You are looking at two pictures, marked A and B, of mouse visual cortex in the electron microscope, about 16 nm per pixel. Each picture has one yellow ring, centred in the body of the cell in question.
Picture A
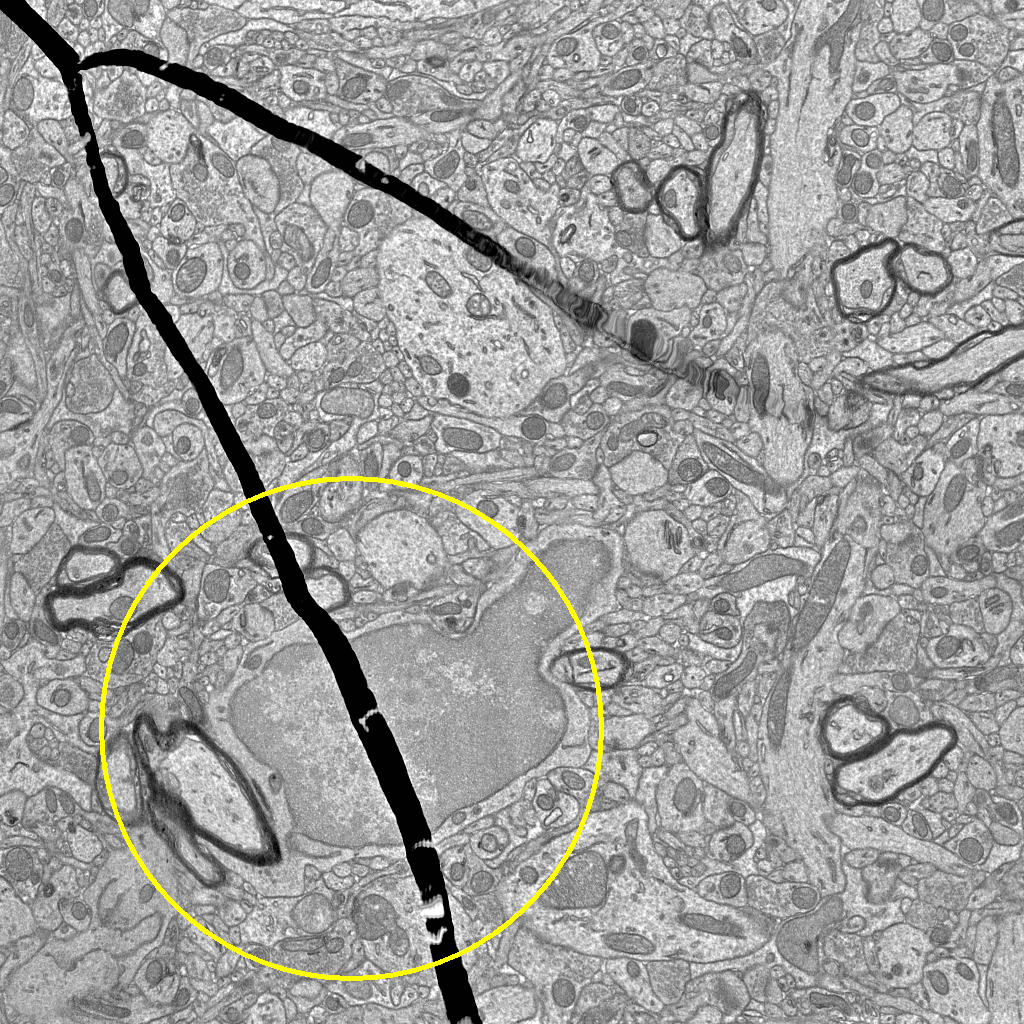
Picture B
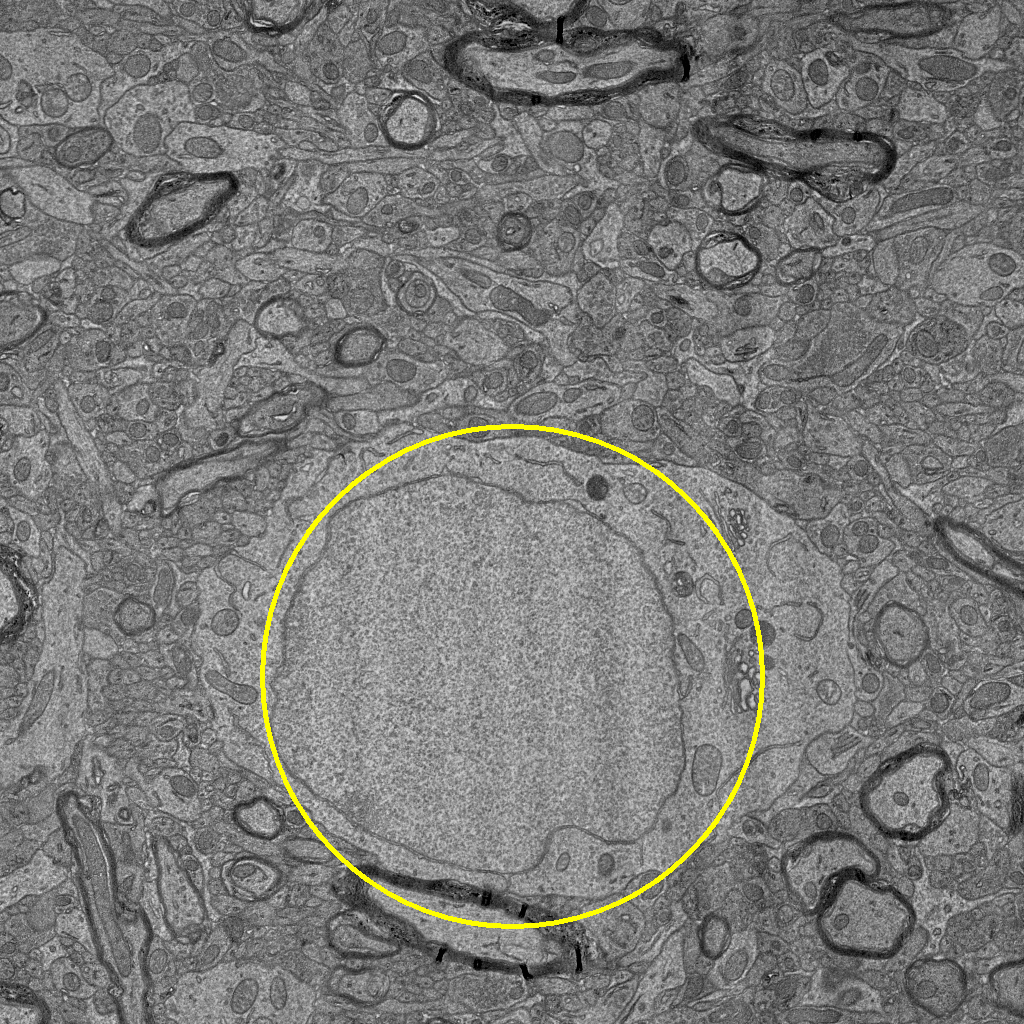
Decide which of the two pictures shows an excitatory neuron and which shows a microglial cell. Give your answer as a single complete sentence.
Picture A shows a microglial cell and picture B shows an excitatory neuron.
